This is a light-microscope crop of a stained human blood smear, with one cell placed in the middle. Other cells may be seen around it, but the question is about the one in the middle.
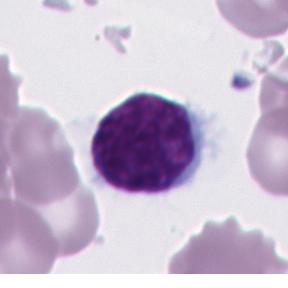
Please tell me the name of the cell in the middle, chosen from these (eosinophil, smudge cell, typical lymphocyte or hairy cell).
hairy cell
